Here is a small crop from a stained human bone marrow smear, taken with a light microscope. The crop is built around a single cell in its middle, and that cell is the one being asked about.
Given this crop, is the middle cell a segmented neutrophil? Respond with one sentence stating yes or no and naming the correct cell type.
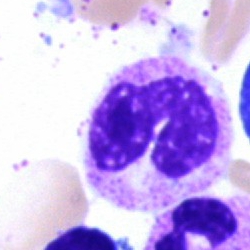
No, this cell in the middle is a band neutrophil, so it is not a segmented neutrophil.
